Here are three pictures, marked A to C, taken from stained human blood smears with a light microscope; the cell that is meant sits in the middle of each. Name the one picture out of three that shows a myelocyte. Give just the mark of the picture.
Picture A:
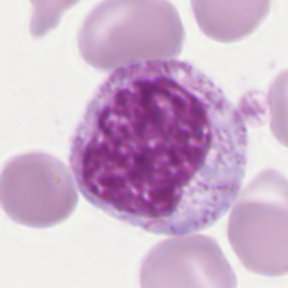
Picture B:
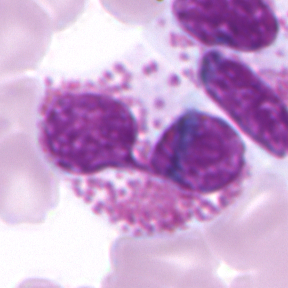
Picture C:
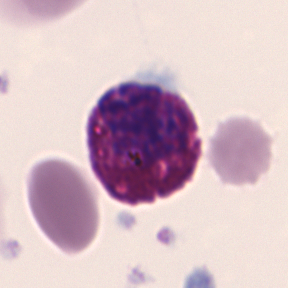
A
